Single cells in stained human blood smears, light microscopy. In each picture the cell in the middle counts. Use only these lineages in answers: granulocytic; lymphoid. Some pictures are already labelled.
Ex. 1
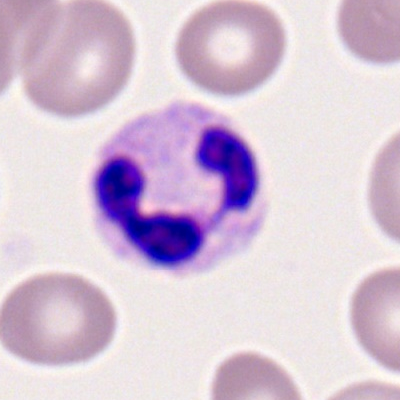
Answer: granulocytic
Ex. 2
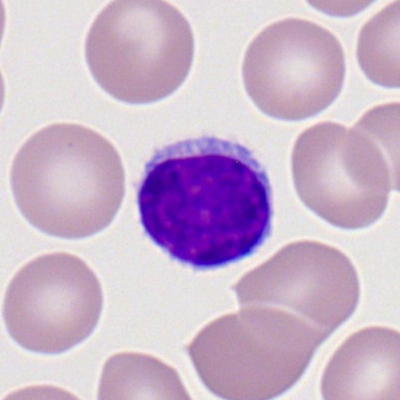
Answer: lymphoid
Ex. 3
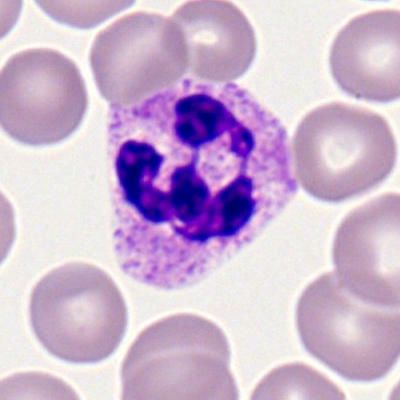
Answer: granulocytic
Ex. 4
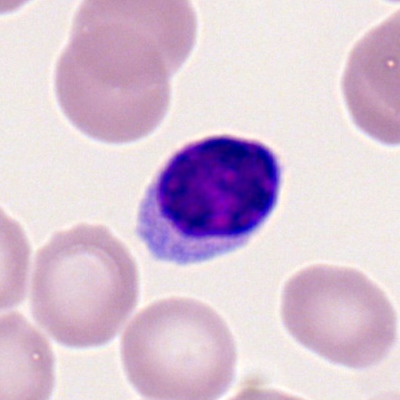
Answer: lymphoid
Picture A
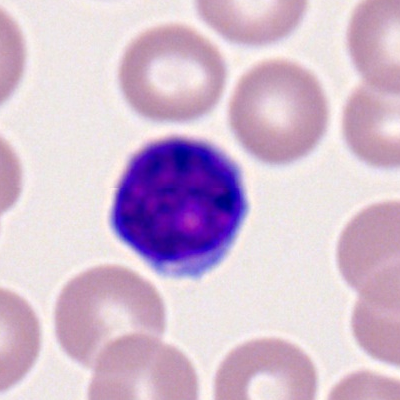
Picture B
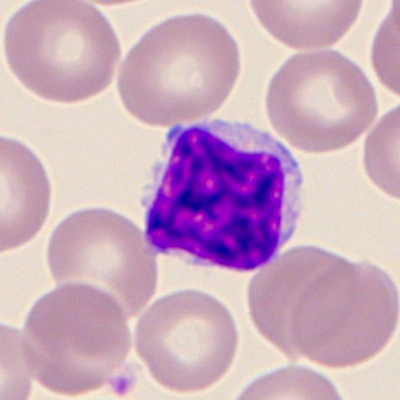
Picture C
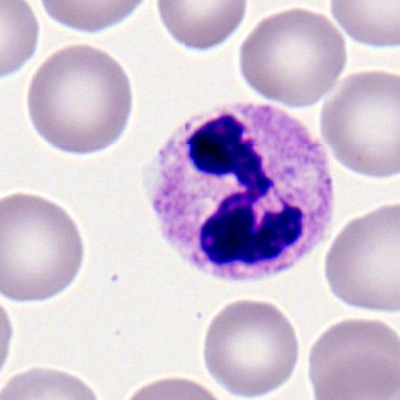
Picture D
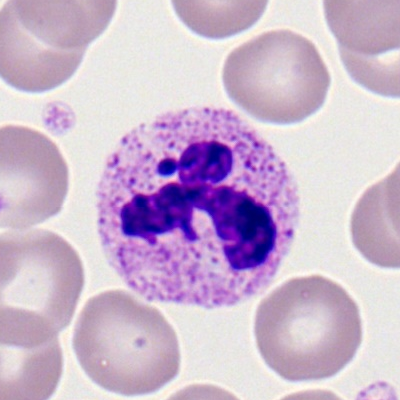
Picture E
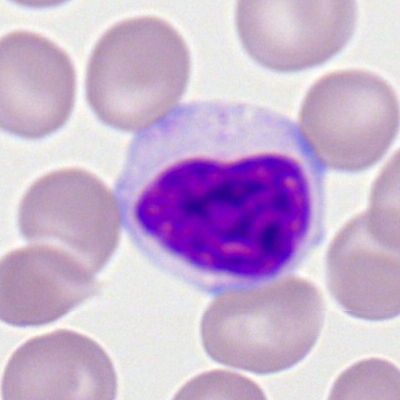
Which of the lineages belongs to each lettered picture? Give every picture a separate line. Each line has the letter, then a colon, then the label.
A: lymphoid
B: lymphoid
C: granulocytic
D: granulocytic
E: lymphoid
